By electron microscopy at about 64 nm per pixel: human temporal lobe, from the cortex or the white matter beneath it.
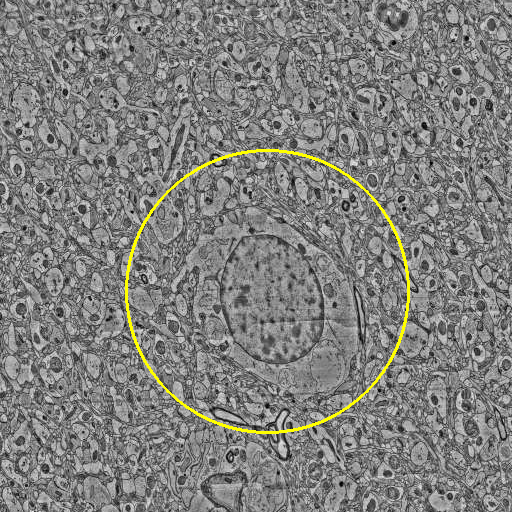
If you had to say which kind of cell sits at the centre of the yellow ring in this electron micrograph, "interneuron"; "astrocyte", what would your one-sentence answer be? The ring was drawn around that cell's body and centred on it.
The cell sitting at the centre of the ring is an astrocyte.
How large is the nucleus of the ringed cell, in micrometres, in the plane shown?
Roughly 8 micrometres by 7 micrometres, in this plane.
